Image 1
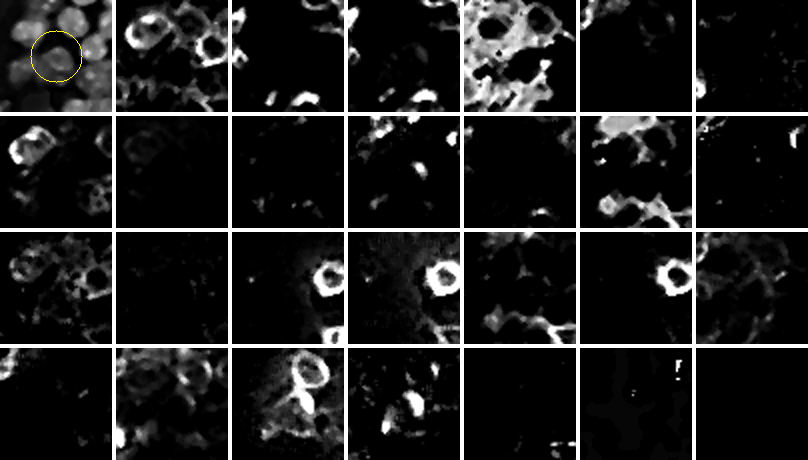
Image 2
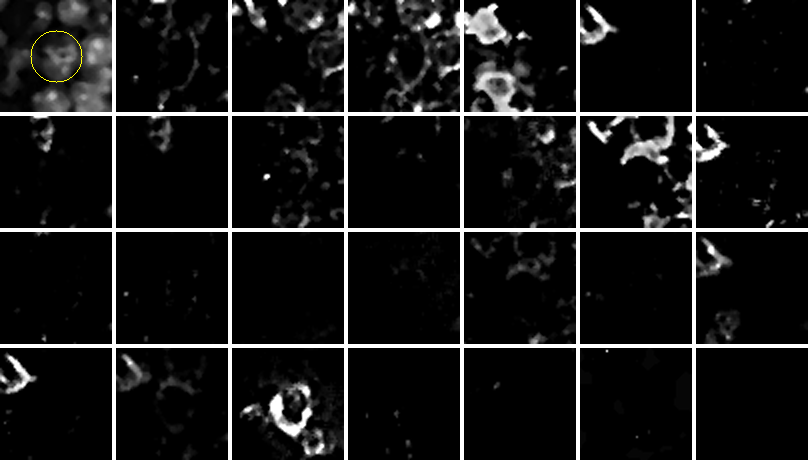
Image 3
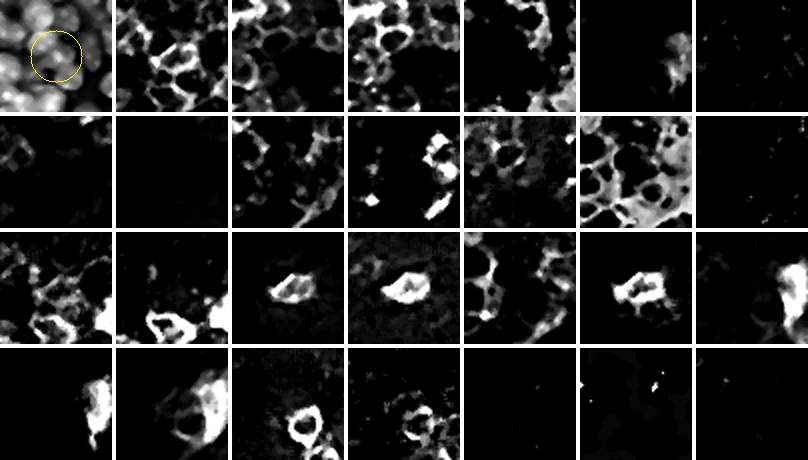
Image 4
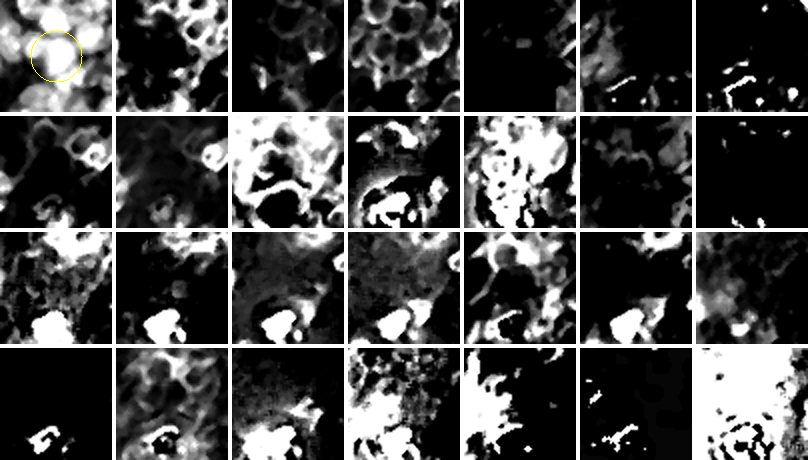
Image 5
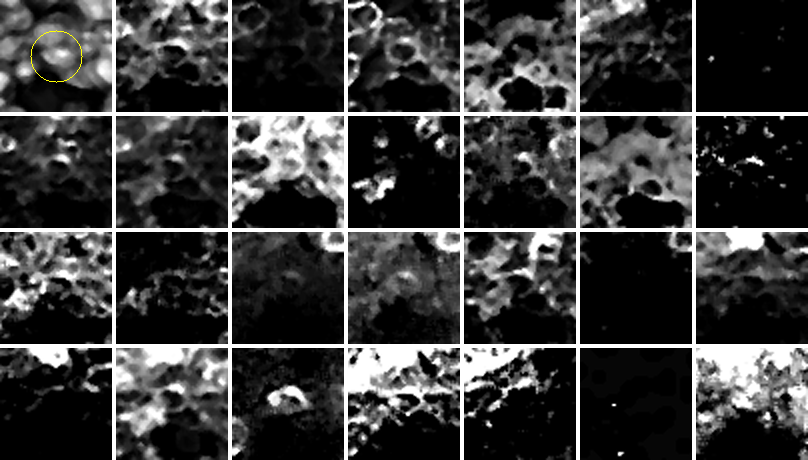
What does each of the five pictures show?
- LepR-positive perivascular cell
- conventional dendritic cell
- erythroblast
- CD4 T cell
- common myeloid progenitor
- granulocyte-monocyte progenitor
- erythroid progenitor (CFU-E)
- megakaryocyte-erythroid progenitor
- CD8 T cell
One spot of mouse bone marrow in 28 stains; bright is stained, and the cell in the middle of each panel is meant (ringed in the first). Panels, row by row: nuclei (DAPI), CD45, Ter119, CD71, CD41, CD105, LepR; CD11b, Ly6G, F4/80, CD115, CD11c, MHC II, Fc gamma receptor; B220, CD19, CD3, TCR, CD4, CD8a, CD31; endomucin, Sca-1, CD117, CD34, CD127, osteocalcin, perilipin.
Picture 1: common myeloid progenitor
Picture 2: megakaryocyte-erythroid progenitor
Picture 3: CD8 T cell
Picture 4: erythroid progenitor (CFU-E)
Picture 5: erythroid progenitor (CFU-E)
